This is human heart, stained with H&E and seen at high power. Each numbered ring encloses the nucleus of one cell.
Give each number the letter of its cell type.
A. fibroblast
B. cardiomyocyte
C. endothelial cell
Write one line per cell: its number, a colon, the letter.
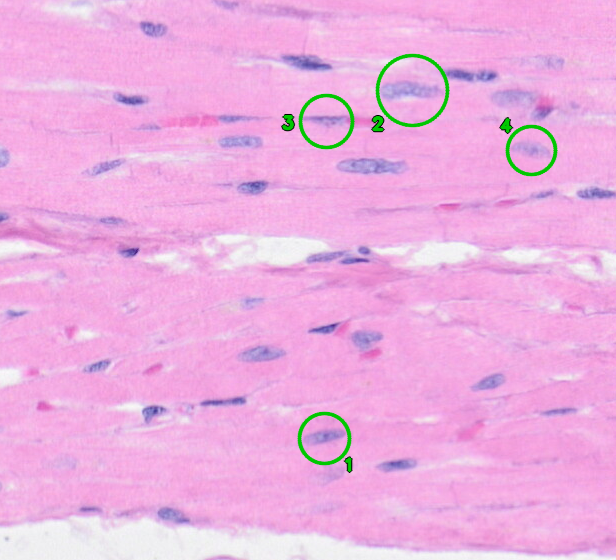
1: B
2: B
3: C
4: B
